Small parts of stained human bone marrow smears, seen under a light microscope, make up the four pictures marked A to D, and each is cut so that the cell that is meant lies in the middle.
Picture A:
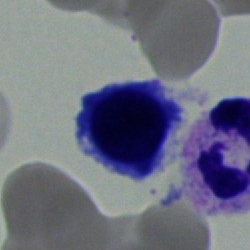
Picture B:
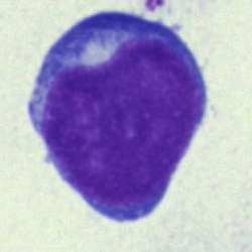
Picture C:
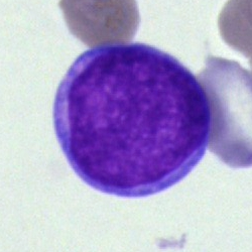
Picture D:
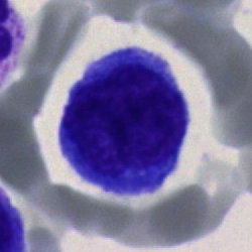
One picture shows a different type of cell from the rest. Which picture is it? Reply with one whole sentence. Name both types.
The others show blasts, but picture A shows an erythroblast.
